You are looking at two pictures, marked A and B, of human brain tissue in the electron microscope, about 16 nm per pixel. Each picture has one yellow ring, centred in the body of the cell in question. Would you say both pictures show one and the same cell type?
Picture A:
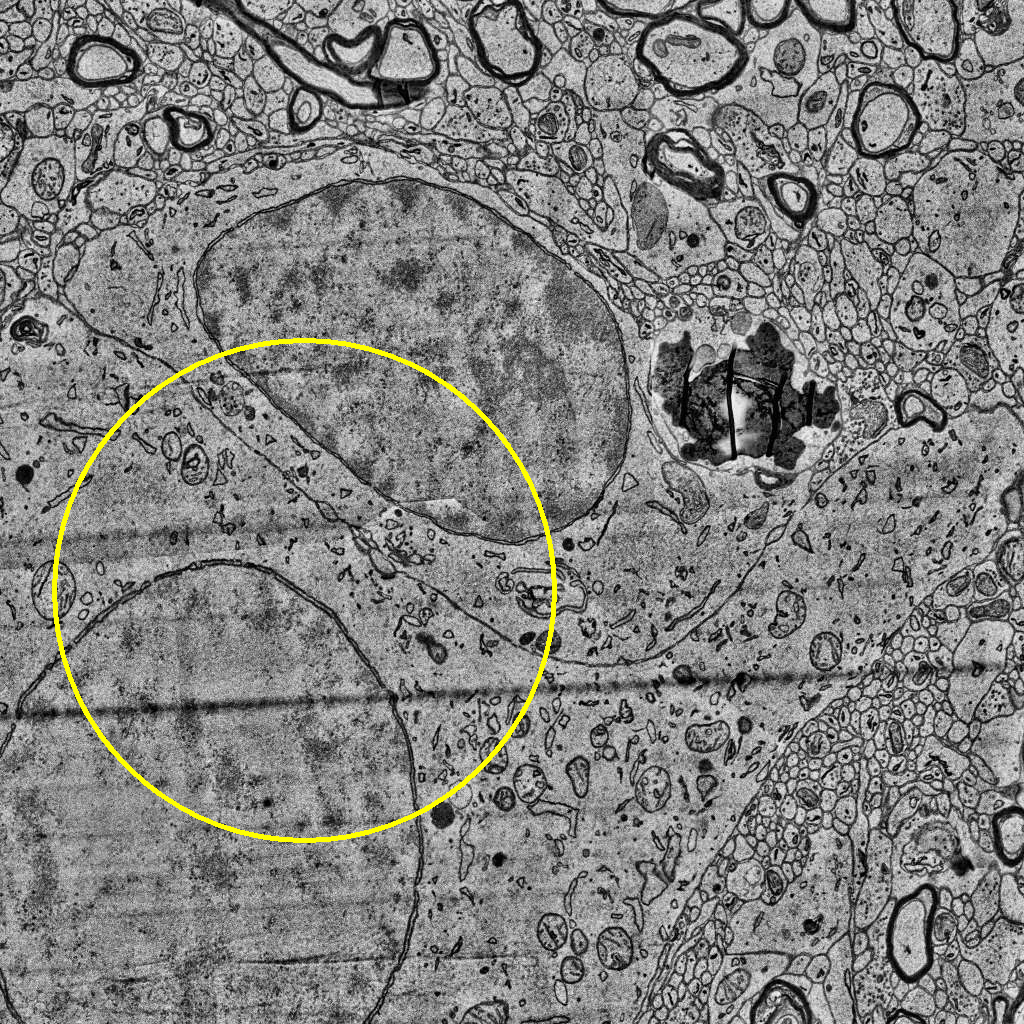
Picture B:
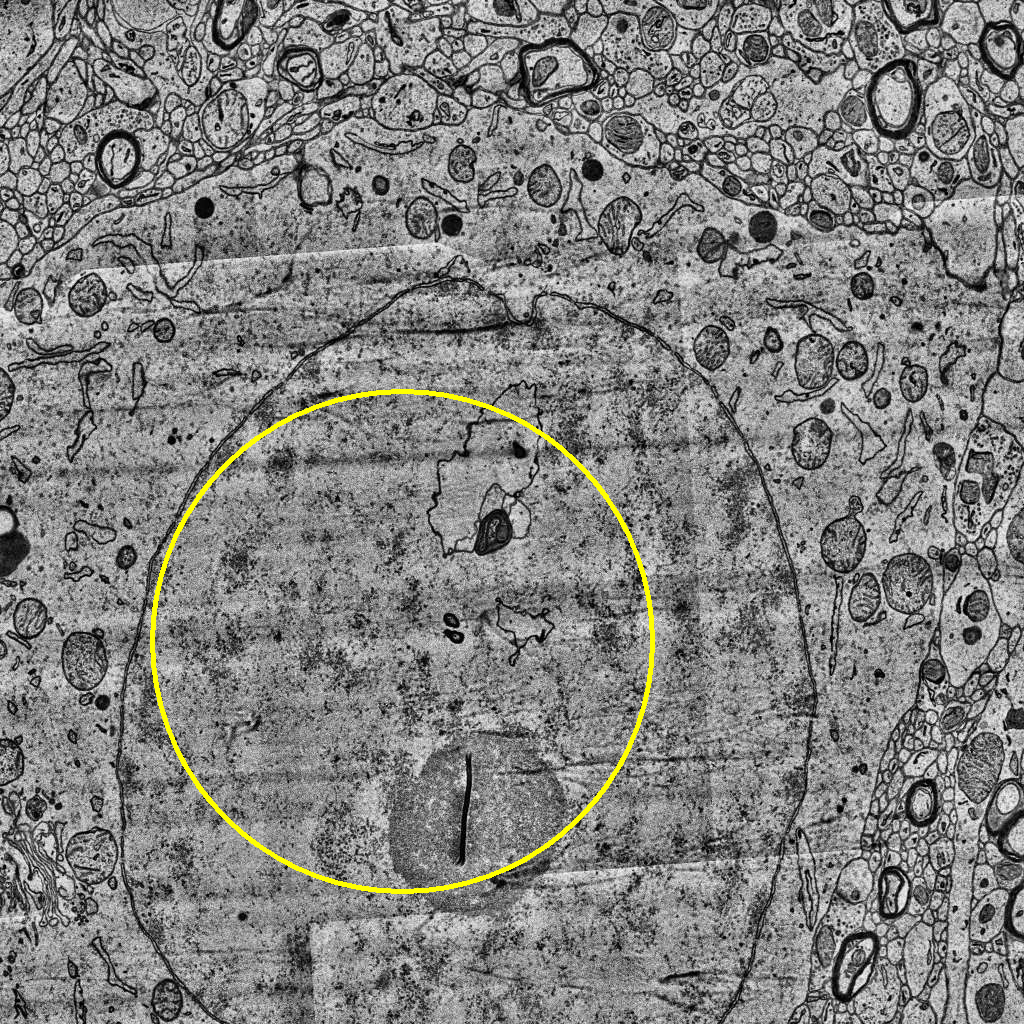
No, picture A shows an oligodendrocyte and picture B shows a pyramidal neuron.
